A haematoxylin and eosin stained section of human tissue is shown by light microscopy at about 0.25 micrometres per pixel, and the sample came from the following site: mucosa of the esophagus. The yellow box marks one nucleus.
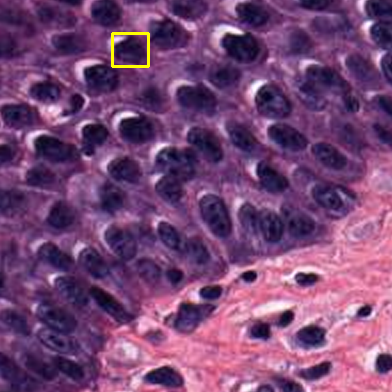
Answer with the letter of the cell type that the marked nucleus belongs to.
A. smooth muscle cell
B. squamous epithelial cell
B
